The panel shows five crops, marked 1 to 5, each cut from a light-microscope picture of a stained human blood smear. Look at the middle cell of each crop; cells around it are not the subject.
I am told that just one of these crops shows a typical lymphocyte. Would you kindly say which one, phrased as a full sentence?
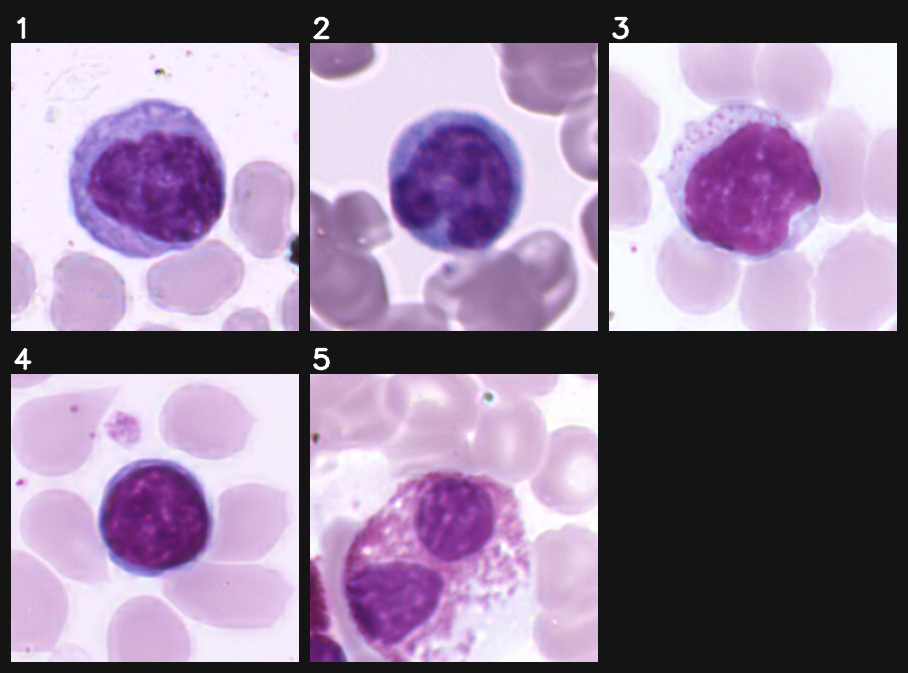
Crop 4 is the one in the set with a typical lymphocyte at the center.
